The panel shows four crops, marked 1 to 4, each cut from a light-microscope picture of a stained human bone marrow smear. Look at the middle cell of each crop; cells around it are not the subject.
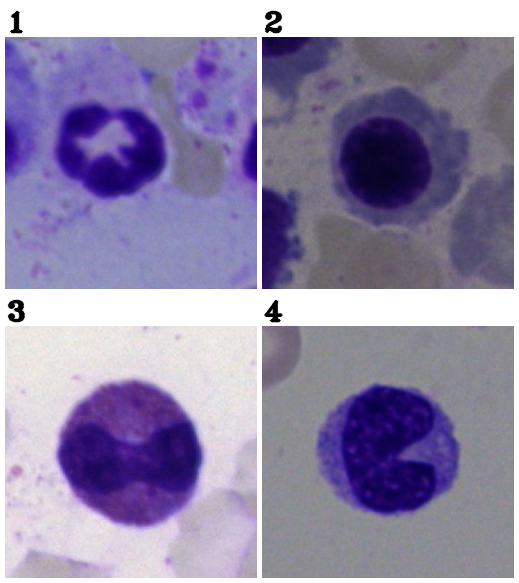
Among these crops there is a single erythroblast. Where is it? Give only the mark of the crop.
2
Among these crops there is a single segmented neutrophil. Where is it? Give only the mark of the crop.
1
